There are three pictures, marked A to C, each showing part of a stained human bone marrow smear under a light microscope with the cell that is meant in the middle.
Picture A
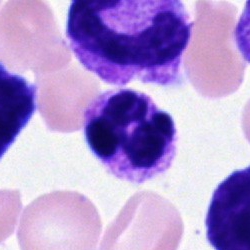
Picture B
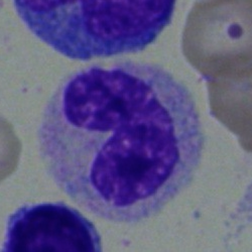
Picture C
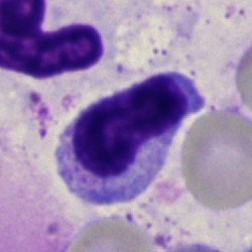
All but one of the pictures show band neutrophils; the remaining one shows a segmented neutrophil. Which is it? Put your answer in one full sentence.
The picture with the segmented neutrophil is A.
